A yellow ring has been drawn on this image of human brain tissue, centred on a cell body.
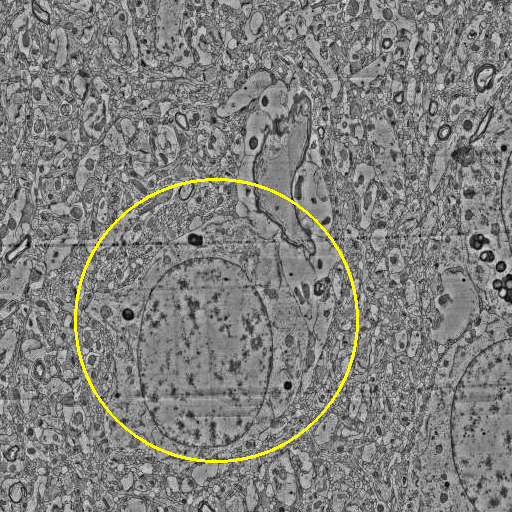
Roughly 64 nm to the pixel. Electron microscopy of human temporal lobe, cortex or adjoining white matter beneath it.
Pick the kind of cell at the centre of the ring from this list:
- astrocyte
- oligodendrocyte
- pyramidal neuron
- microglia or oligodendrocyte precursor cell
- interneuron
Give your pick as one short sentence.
The centre of the ring holds a pyramidal neuron.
